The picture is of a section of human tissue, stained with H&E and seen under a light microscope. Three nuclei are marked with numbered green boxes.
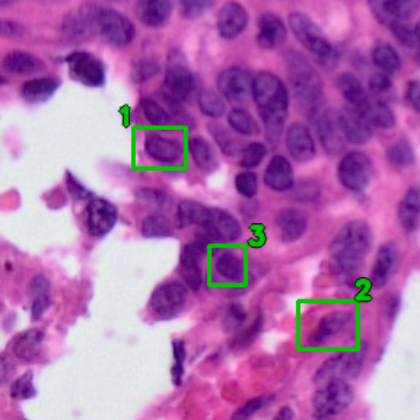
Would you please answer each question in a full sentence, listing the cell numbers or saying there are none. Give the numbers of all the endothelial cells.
The nucleus numbered 2 is the only one that belongs to an endothelial cell.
